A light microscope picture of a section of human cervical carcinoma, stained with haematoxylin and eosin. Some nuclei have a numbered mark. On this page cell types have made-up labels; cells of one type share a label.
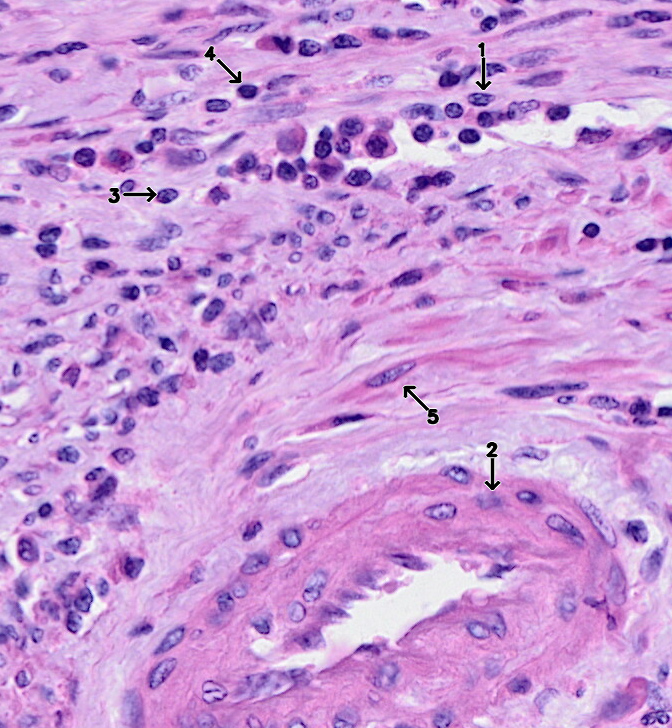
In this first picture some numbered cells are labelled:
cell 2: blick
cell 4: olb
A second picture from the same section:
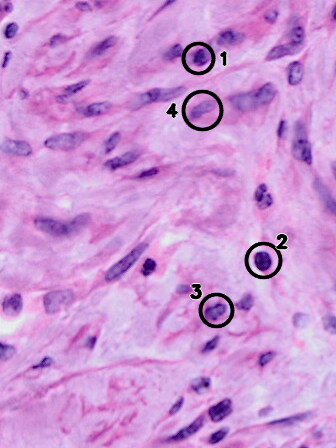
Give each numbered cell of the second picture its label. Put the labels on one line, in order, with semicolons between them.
blick; olb; blick; blick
